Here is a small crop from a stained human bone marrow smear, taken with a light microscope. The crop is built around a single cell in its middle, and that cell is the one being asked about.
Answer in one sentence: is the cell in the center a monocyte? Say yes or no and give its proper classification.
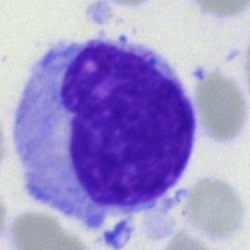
Yes, the cell in the middle of this smear crop is a monocyte.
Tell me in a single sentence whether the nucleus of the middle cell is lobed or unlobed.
Key feature: a single compact nucleus, round, oval or kidney-shaped.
